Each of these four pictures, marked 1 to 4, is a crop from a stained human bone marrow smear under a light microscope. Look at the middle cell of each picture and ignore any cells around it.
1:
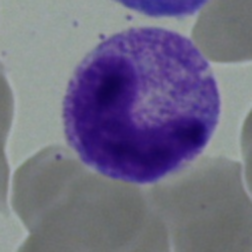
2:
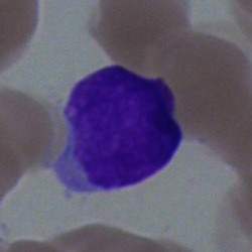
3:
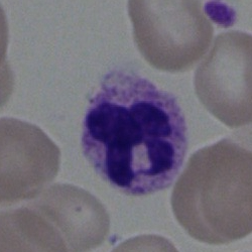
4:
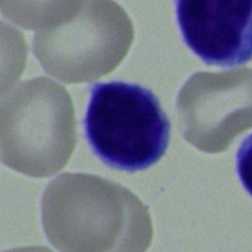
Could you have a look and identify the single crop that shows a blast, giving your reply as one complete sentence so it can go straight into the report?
The one crop that shows a blast is crop 2.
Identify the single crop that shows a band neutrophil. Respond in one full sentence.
The one showing a band neutrophil is crop 1.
